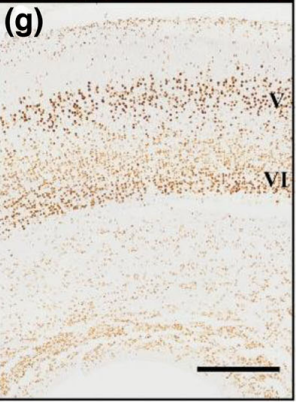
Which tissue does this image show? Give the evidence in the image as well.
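A curved band of densely packed brown-stained nuclei arranged in layers. A cell-poor zone lies beneath the stained band.
Cerebral cortex.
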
